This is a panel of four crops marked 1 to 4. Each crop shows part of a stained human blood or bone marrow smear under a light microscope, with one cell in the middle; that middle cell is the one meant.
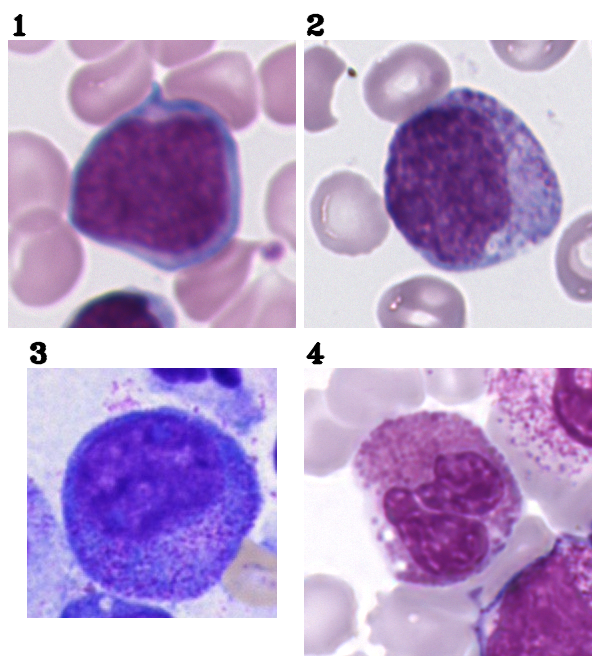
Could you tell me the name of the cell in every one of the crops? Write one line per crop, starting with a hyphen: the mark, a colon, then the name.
- 1: blast
- 2: promyelocyte
- 3: promyelocyte
- 4: eosinophil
